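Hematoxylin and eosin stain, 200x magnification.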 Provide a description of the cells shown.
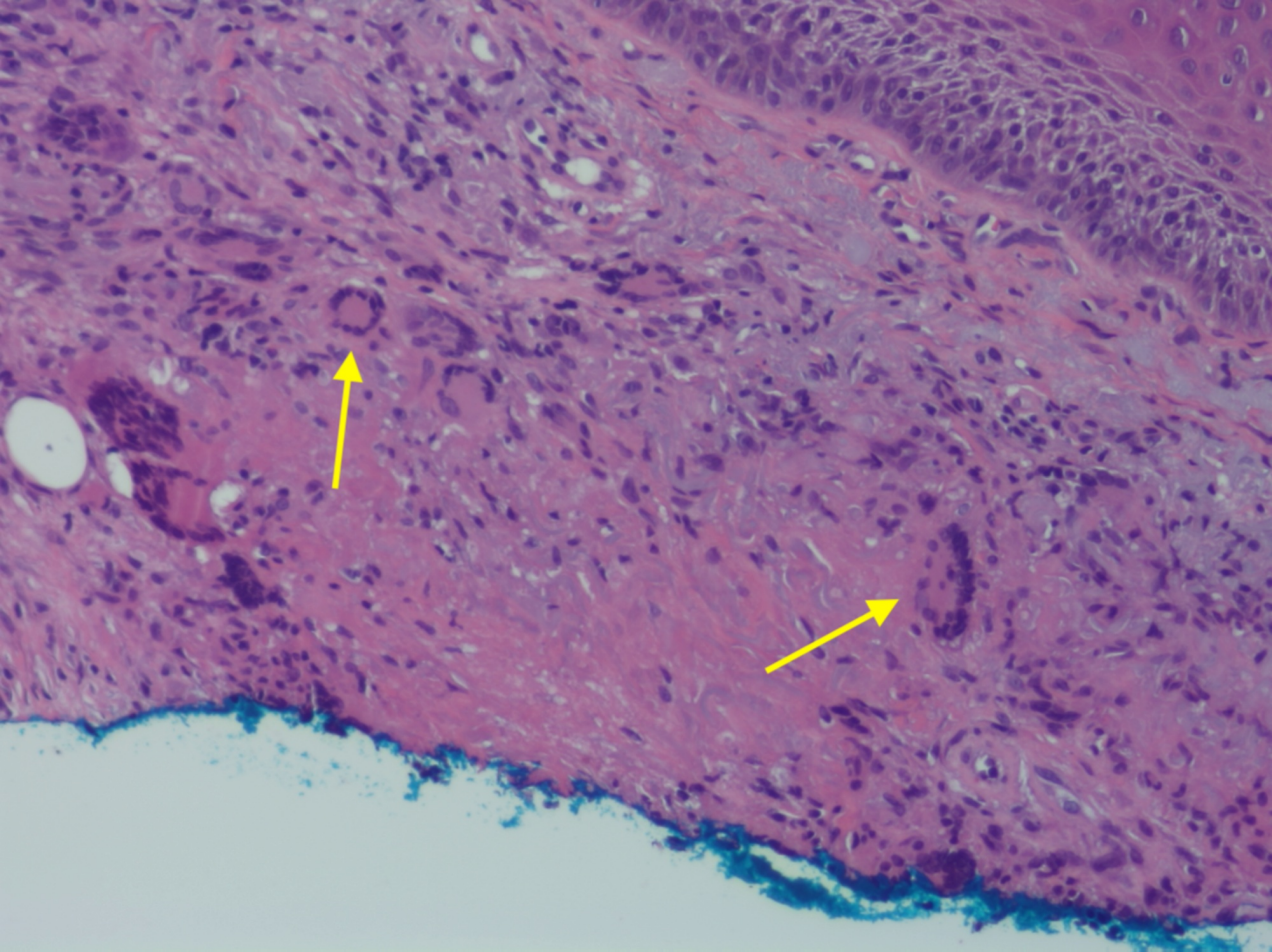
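This is skin with squamous epithelium at the upper right and, beneath it, dermis filled with granulomatous inflammation. Scattered through the connective tissue are large multinucleated giant cells whose dark purple nuclei line up in a ring or crescent at the edge of pale pink cytoplasm. Around them lie many plump, pale, elongated cells and smaller dark round cells. In places the pink collagen looks smudged and holds few nuclei.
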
